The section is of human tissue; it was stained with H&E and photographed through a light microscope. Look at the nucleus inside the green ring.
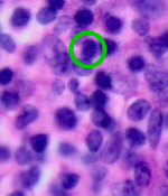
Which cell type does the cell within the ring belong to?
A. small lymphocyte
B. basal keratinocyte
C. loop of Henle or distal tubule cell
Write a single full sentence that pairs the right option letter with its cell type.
Option A is correct here; the cell within the ring is a small lymphocyte.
